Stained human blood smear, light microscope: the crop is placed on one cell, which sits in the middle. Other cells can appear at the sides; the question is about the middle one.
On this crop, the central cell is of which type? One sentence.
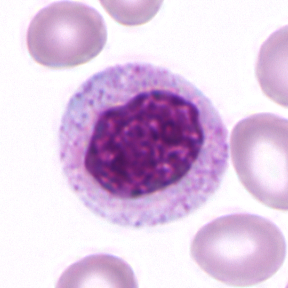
The crop's centre is taken up by a metamyelocyte.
